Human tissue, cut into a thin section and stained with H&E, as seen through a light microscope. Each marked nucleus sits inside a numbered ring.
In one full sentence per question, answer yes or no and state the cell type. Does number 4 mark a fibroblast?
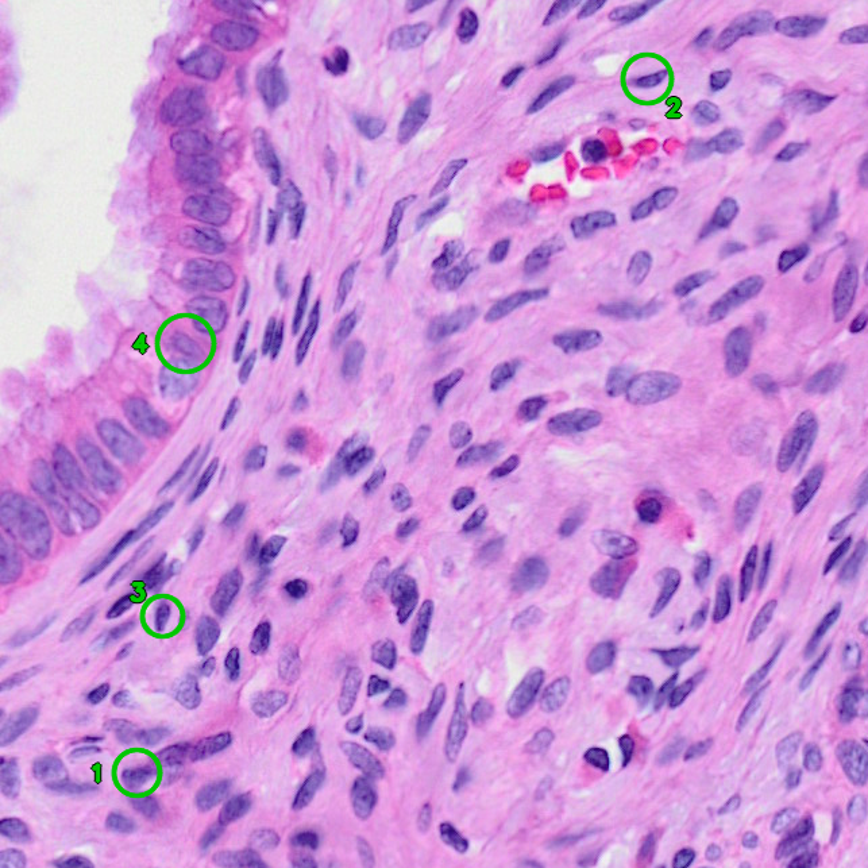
No, the identification of cell 4 as a fibroblast is incorrect; it is a secretory epithelial cell.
